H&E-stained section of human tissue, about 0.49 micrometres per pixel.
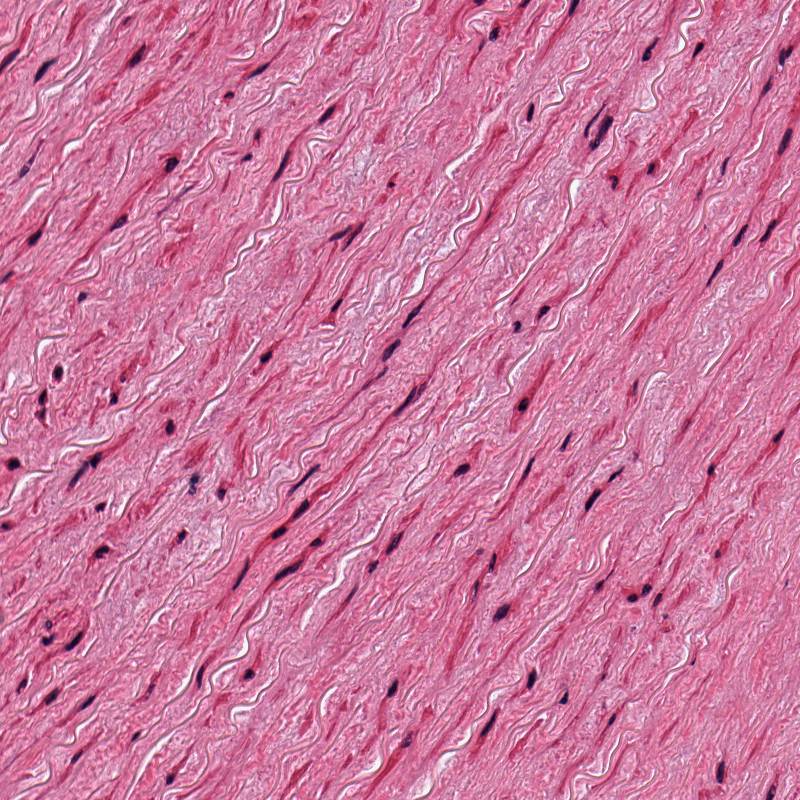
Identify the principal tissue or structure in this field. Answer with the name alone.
tunica media of an artery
